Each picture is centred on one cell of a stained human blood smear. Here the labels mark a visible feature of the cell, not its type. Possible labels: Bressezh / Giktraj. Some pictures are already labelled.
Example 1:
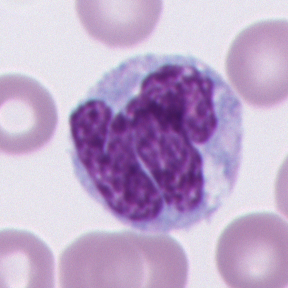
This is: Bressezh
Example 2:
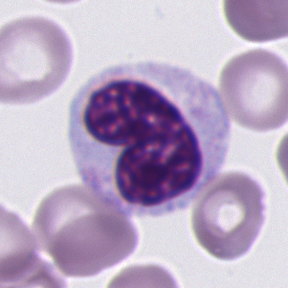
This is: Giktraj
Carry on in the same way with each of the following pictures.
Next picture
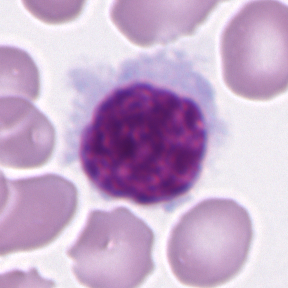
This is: Giktraj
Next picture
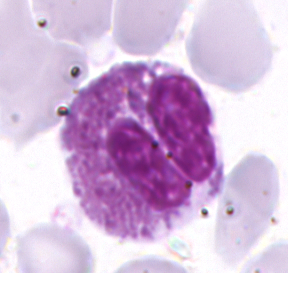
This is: Bressezh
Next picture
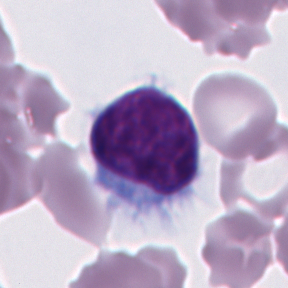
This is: Giktraj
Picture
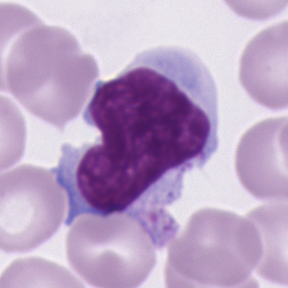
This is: Giktraj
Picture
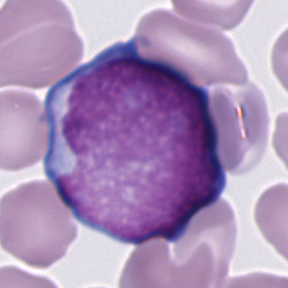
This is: Giktraj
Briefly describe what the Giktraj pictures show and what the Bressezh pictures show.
Giktraj, single compact nucleus; Bressezh, lobed nucleus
